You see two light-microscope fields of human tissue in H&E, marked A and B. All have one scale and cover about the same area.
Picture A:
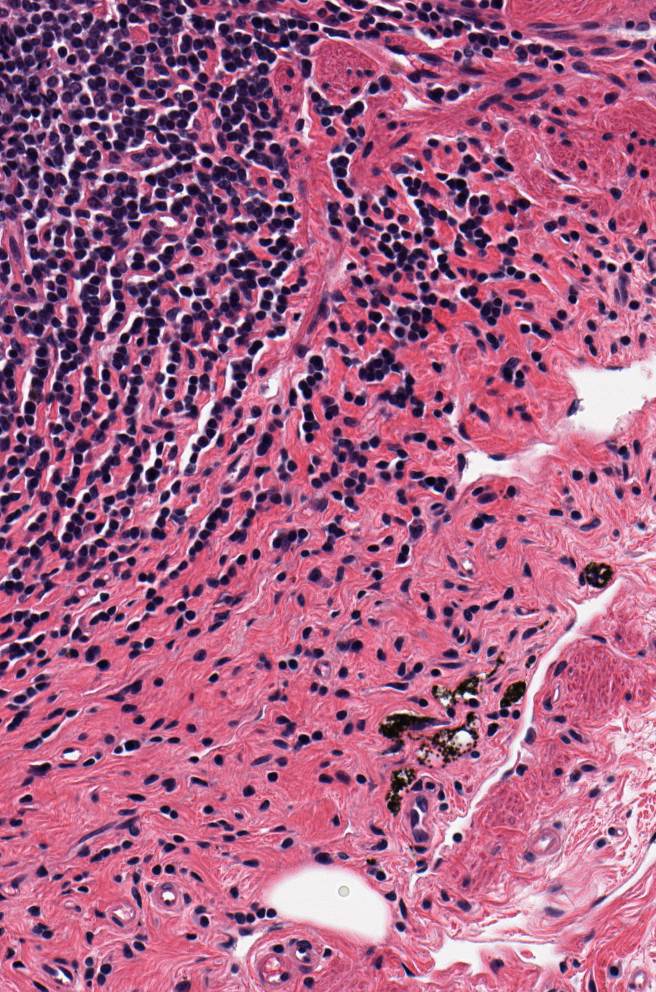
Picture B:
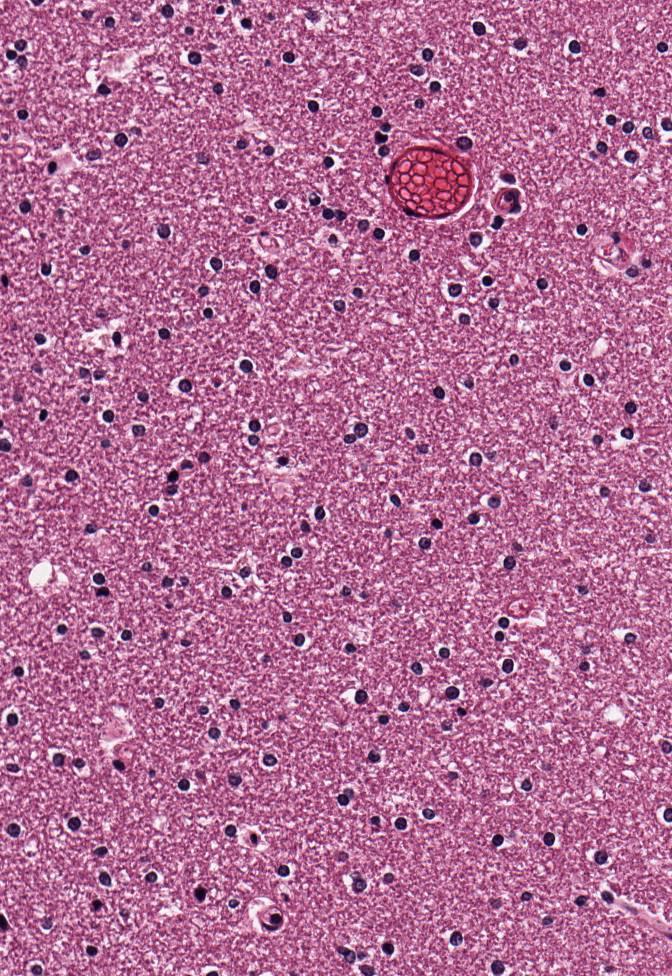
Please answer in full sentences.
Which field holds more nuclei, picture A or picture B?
More nuclei lie in picture A than in picture B.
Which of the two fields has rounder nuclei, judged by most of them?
It is picture B whose nuclei are the rounder.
